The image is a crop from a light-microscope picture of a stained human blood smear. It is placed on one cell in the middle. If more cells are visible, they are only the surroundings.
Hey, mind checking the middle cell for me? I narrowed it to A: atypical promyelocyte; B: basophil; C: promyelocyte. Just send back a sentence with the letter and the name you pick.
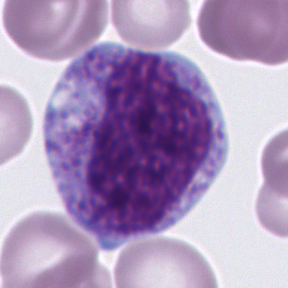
Option C is right in identifying the central cell as a promyelocyte.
